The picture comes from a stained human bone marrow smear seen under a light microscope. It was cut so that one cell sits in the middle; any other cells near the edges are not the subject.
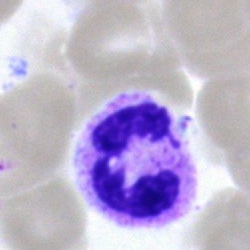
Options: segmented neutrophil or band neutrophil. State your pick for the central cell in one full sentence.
Regarding the central cell, it is a segmented neutrophil.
